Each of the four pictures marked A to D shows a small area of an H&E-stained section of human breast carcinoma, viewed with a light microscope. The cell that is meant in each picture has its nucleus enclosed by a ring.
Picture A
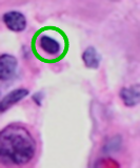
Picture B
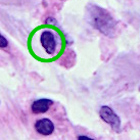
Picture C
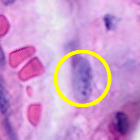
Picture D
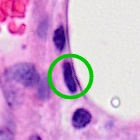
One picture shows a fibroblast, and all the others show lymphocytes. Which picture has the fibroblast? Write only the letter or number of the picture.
C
